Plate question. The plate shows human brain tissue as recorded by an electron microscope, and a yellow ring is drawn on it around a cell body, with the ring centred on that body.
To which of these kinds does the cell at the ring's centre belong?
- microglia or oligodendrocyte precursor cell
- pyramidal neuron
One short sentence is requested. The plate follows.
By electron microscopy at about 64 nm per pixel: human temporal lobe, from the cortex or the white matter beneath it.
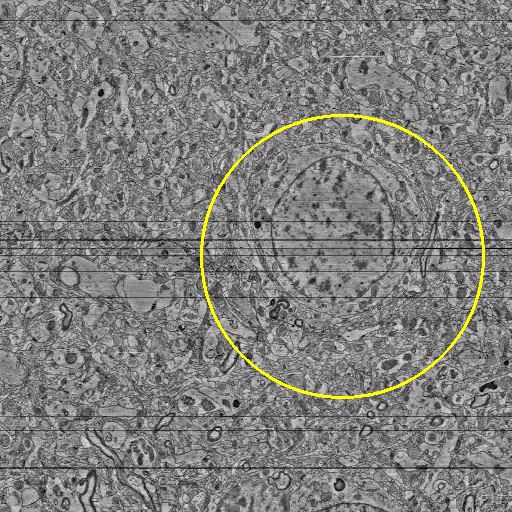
The cell at the ring's centre is a pyramidal neuron.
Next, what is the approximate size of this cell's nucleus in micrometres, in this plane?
Approximately 10 x 8 micrometres in this plane.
